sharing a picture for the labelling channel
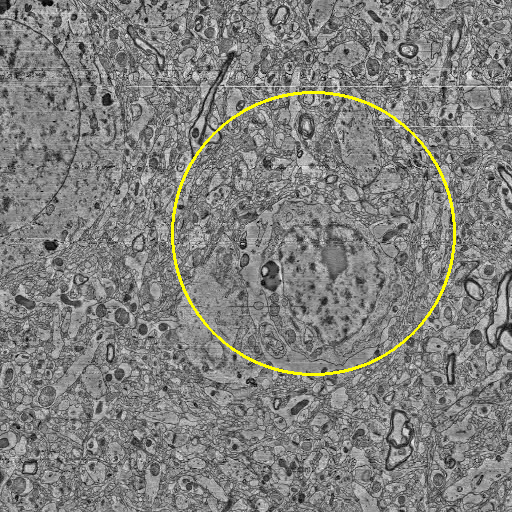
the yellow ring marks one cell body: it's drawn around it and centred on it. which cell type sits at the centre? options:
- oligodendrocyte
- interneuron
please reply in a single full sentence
In the picture, the cell at the ring's centre is an interneuron, going by the list.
